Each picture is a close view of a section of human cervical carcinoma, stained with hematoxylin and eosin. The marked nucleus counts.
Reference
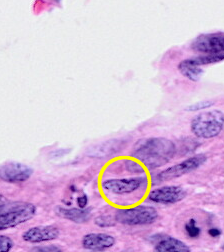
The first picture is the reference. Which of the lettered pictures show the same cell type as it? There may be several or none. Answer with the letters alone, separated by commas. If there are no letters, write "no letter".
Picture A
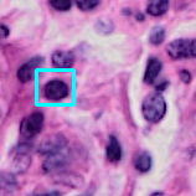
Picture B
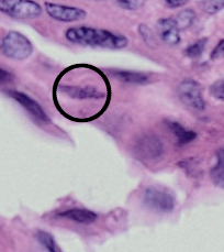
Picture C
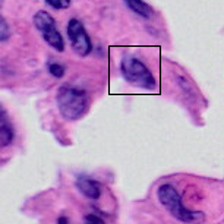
B, C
